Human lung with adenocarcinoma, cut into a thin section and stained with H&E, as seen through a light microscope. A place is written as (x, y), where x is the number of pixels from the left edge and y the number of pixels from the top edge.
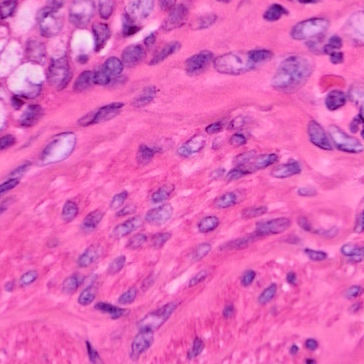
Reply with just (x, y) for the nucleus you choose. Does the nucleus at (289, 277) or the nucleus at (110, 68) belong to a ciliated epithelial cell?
(110, 68)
